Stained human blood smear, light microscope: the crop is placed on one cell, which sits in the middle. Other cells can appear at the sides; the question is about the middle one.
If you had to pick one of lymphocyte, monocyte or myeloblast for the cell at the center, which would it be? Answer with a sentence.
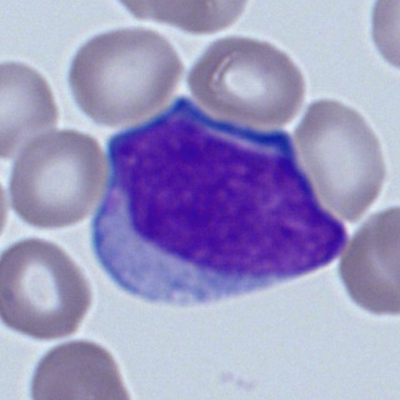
The middle of this crop holds a myeloblast.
